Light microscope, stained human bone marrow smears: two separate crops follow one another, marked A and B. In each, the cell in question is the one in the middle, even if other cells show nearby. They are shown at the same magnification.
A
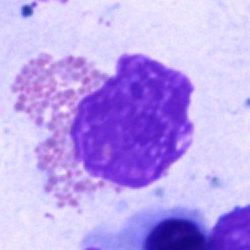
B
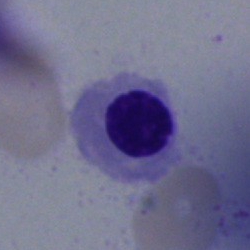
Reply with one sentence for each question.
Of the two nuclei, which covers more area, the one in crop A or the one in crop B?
The nucleus in crop A is larger, with about 3 times the area of the one in crop B.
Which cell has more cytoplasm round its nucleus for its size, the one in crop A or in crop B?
Of the two, the nucleus in crop B leaves more room for cytoplasm.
